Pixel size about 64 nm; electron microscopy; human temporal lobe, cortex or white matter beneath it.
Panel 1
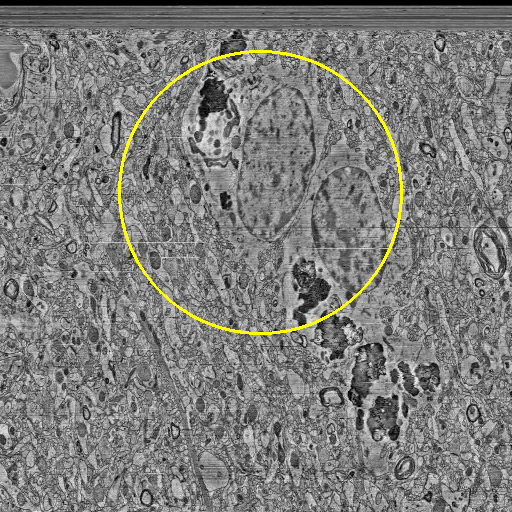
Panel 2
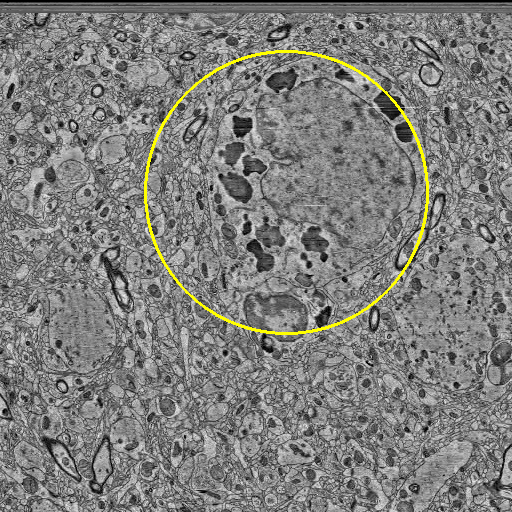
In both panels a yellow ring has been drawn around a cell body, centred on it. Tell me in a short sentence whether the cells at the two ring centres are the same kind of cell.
No, they are two kinds of cell.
